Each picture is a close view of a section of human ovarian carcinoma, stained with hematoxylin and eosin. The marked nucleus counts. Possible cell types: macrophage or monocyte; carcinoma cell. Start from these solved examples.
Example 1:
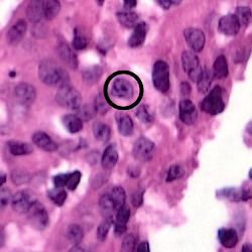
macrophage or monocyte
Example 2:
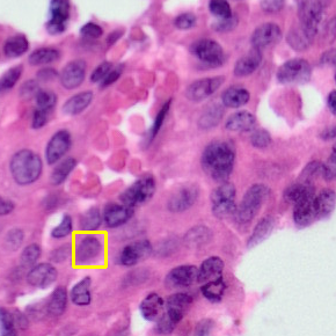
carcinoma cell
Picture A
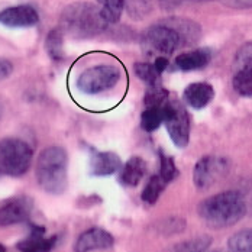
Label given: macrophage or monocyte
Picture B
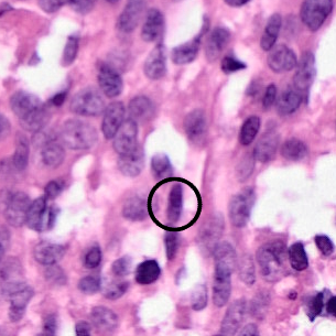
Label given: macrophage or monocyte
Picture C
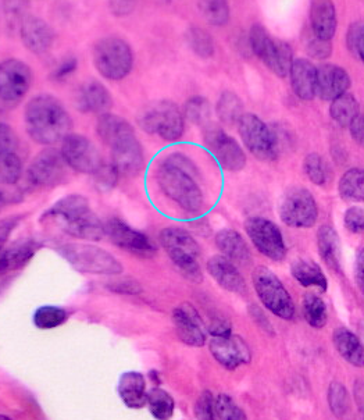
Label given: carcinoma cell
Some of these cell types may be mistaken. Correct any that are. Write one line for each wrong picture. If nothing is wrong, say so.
B is labelled macrophage or monocyte; correct label: carcinoma cell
